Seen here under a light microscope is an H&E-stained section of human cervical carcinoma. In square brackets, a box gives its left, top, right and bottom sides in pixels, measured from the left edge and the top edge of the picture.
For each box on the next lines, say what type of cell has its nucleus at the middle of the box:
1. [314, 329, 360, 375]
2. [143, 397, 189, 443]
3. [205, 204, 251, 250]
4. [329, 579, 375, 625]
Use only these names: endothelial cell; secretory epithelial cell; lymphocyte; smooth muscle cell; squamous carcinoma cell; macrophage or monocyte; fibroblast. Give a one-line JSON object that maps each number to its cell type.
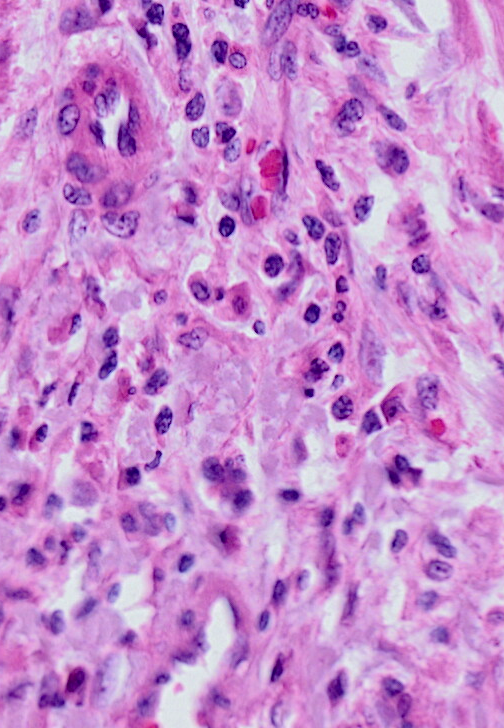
{"1": "lymphocyte", "2": "lymphocyte", "3": "lymphocyte", "4": "fibroblast"}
